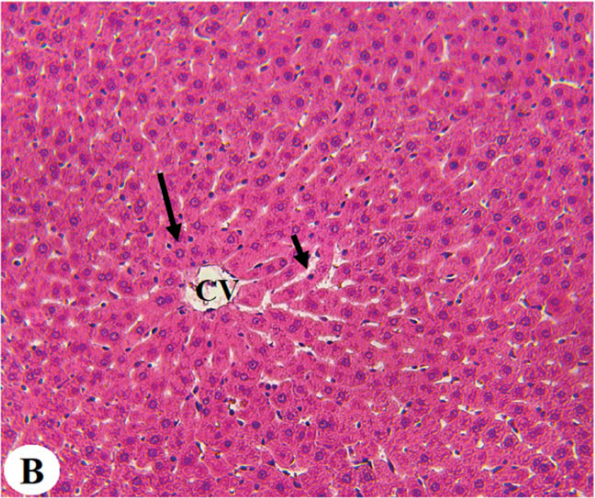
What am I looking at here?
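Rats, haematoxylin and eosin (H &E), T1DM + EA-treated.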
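Liver tissue with hepatocytes arranged in cords radiating from a small central vessel. The hepatocytes are polygonal with pink cytoplasm and round, dark, centrally placed nuclei. Thin clear spaces separate the cords, and the overall architecture is regular.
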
